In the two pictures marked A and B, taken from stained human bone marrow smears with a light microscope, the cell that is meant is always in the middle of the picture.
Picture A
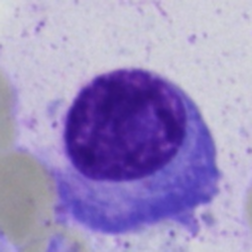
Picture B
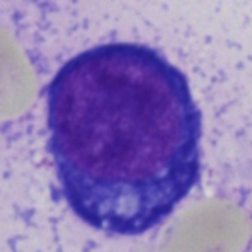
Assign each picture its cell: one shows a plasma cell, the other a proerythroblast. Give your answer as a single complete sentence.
Picture A is of a plasma cell, and picture B is of a proerythroblast.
